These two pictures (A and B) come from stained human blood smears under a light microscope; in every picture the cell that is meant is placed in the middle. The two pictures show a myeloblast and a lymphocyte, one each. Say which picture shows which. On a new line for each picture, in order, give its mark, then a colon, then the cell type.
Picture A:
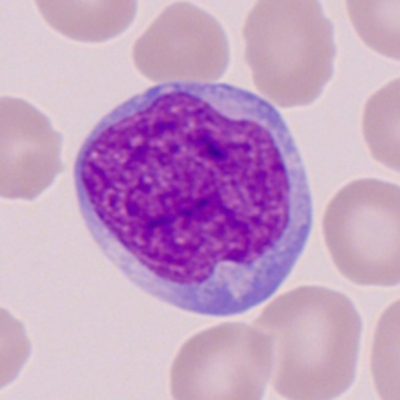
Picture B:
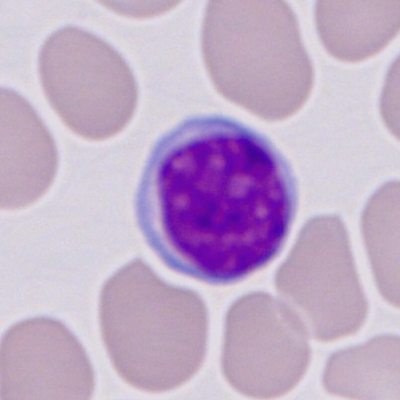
A: myeloblast
B: lymphocyte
